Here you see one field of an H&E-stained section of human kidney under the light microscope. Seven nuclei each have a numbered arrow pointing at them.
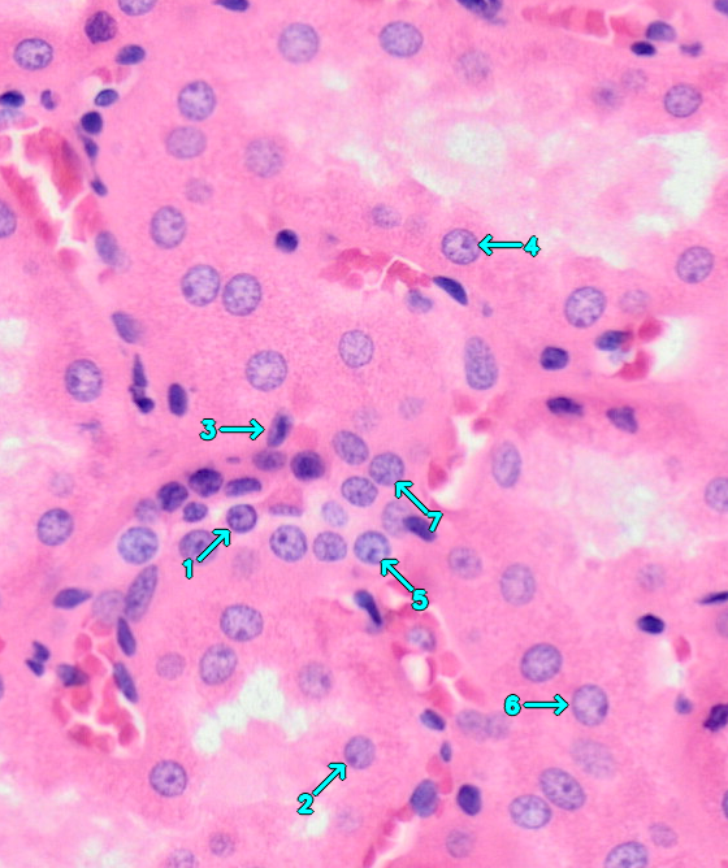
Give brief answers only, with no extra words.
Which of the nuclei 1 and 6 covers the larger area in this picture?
6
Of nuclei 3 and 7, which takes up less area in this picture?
3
